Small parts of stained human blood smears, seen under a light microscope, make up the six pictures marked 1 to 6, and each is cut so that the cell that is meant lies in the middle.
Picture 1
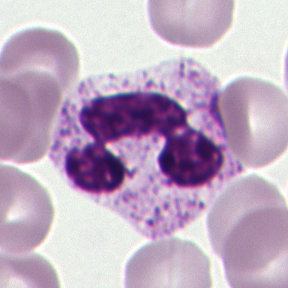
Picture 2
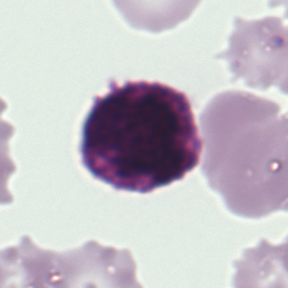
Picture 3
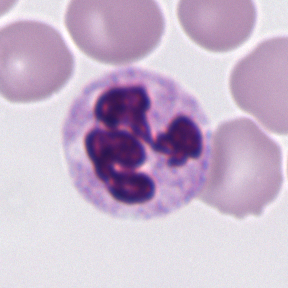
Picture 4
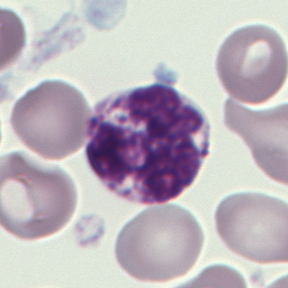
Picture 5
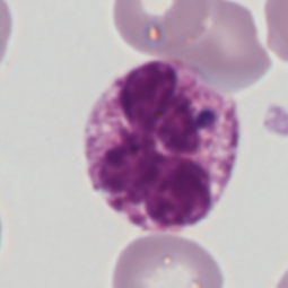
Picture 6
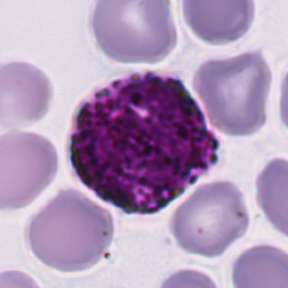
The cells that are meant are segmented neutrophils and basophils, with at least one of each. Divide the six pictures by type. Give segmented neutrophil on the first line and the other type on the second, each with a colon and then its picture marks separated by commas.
segmented neutrophil: 1, 3
basophil: 2, 4, 5, 6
